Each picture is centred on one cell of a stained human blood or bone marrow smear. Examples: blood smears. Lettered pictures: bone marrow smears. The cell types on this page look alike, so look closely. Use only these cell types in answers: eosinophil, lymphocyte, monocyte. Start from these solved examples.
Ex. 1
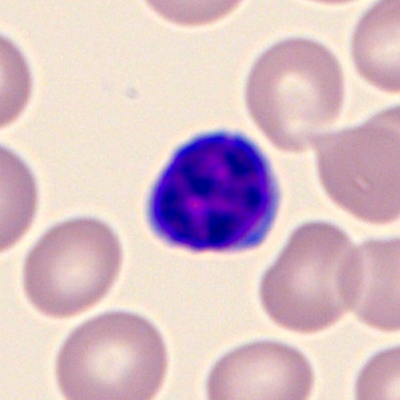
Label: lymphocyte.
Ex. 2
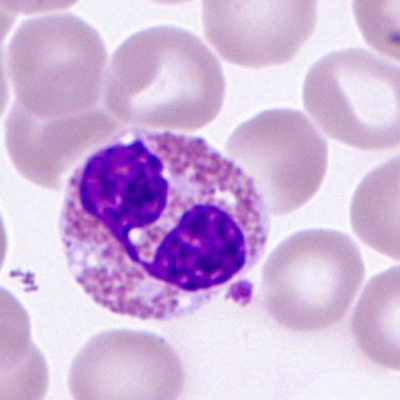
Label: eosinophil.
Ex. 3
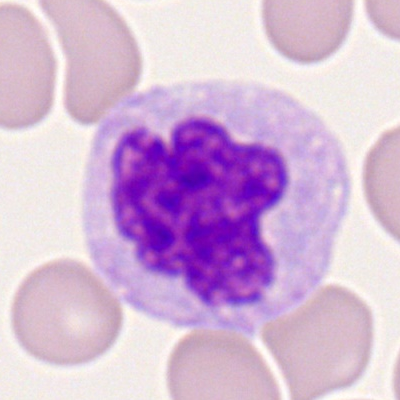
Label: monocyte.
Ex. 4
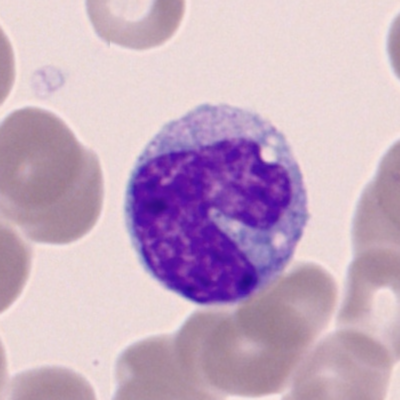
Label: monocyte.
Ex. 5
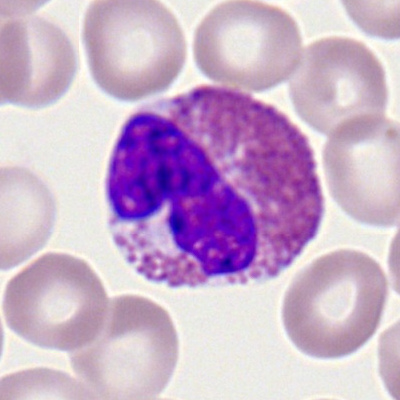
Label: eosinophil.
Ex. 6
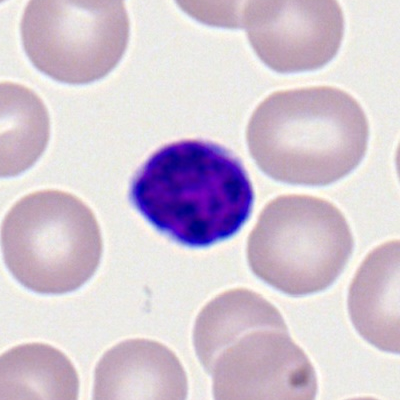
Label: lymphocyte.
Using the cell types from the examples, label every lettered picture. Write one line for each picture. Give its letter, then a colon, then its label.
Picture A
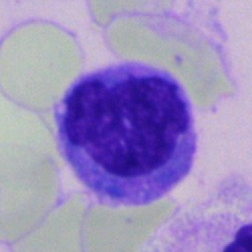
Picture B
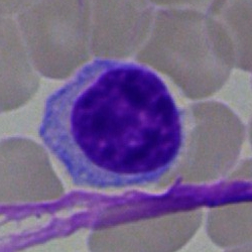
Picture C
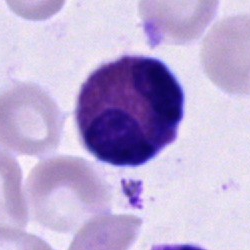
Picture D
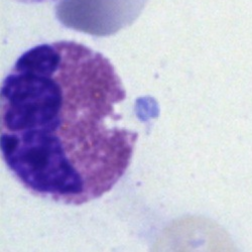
A: monocyte.
B: lymphocyte.
C: eosinophil.
D: eosinophil.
